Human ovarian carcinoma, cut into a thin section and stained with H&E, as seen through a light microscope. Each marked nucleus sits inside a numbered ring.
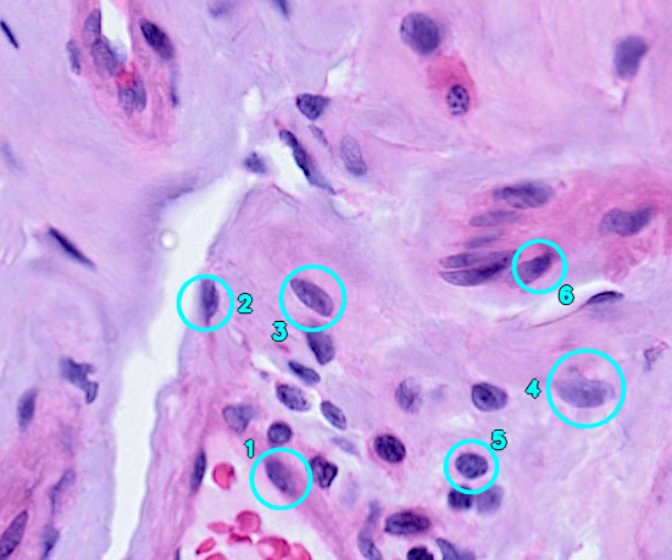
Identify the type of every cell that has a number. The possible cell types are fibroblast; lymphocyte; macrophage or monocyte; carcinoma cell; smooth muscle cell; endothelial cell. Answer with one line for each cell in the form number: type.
1: endothelial cell
2: fibroblast
3: fibroblast
4: fibroblast
5: lymphocyte
6: smooth muscle cell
